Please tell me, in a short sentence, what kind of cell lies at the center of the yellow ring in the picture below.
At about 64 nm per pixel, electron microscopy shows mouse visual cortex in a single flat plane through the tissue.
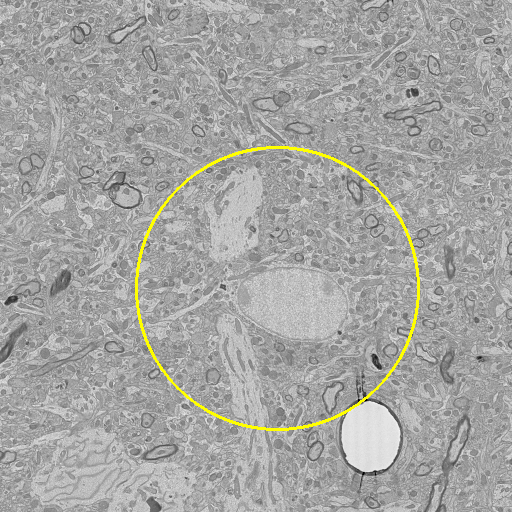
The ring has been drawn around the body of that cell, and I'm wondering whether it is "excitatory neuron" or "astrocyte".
The cell at the center of the ring is an astrocyte.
